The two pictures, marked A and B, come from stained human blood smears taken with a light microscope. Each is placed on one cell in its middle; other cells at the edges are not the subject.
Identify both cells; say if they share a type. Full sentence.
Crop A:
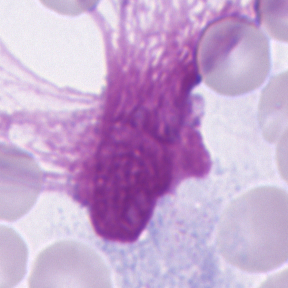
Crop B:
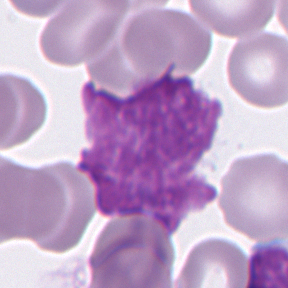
Yes, the two cells in the two crops are smudge cells.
